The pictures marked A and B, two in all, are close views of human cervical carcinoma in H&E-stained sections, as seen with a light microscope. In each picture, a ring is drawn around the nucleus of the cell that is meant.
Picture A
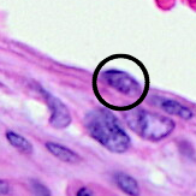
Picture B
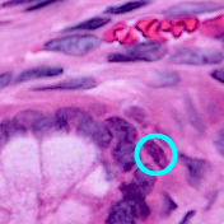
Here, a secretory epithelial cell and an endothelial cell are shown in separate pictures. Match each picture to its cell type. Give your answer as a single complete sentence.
It is picture A that shows an endothelial cell, and picture B that shows a secretory epithelial cell.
